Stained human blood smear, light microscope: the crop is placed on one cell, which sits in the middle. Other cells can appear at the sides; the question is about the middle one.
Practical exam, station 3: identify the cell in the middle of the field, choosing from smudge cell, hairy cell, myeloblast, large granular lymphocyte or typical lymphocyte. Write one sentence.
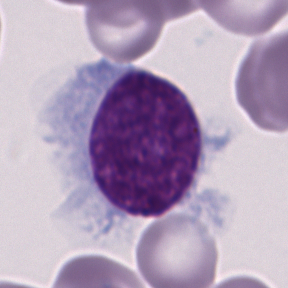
The cell under consideration, at the middle of the crop, is a hairy cell.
